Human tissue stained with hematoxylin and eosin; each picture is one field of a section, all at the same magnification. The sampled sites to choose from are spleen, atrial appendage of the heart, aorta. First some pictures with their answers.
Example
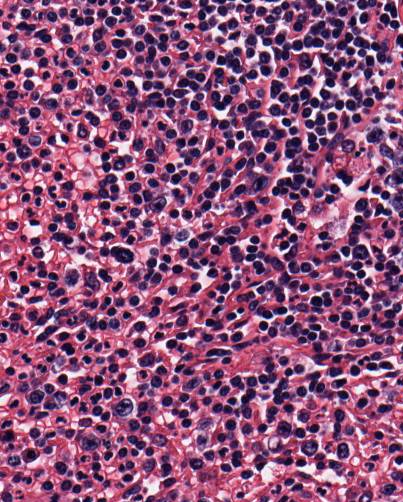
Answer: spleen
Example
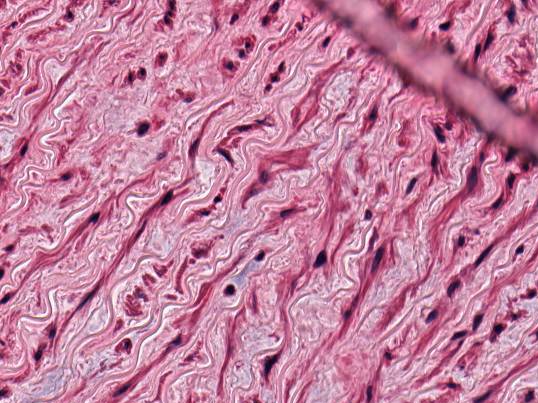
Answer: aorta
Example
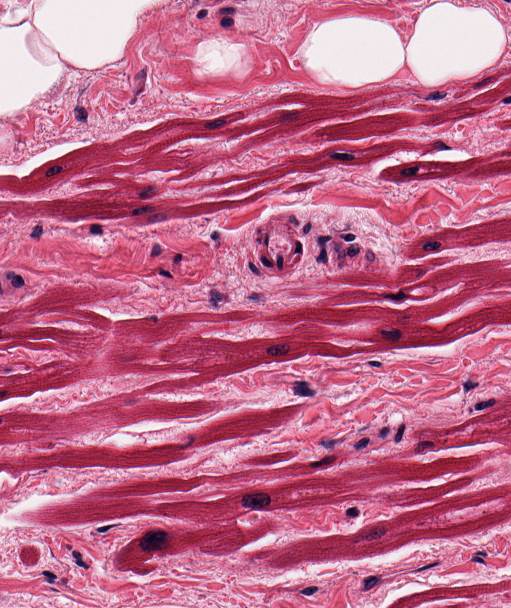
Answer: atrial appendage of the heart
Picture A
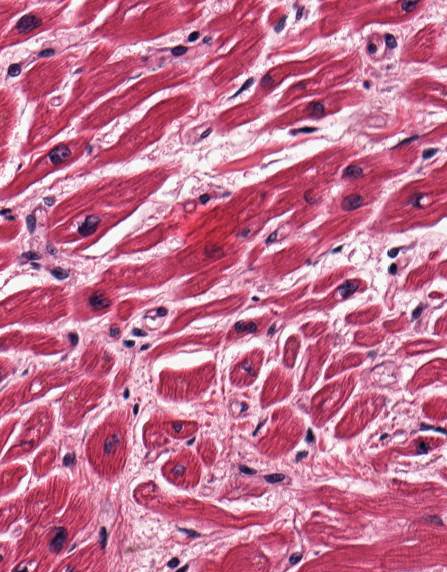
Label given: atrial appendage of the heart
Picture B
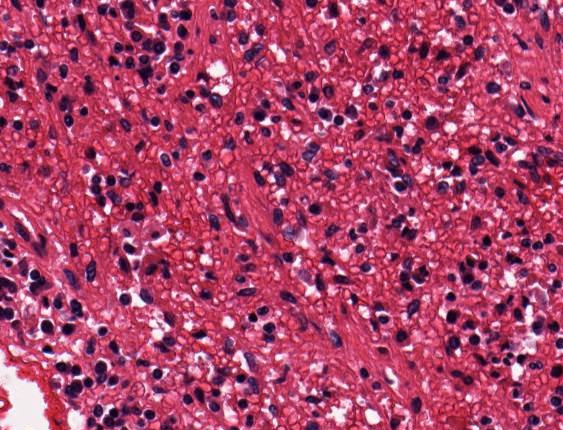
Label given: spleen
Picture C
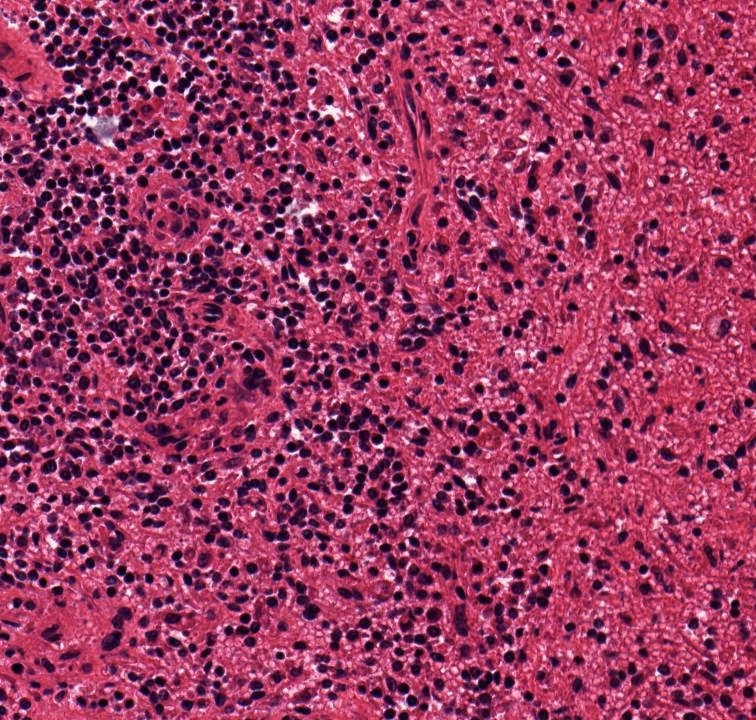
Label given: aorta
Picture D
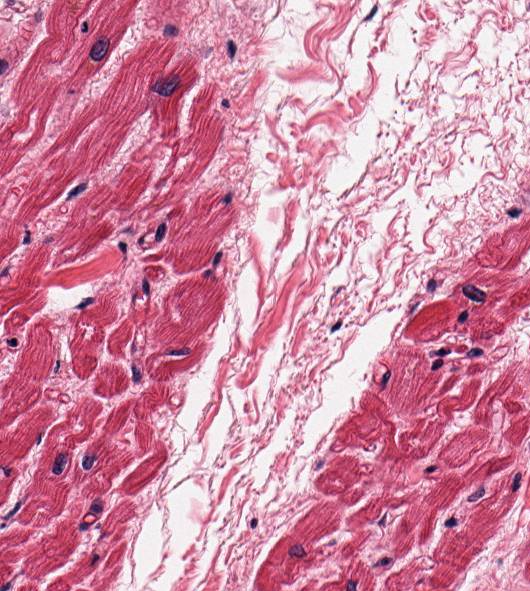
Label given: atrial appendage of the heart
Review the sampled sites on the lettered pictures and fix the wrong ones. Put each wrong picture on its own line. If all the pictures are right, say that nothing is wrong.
C: not aorta but spleen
